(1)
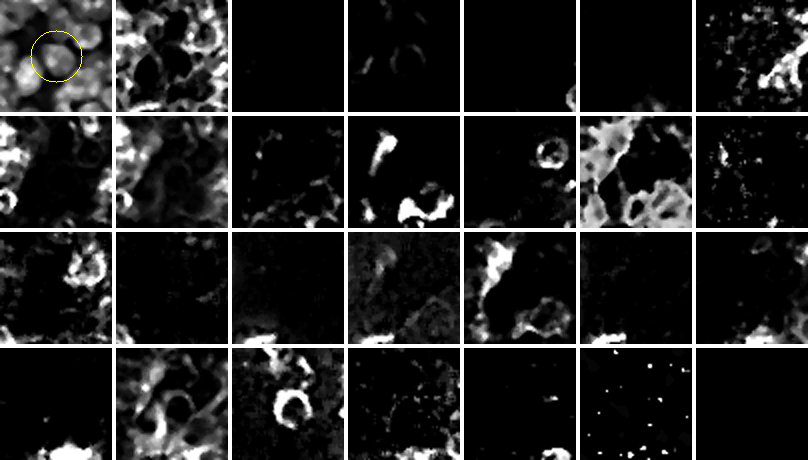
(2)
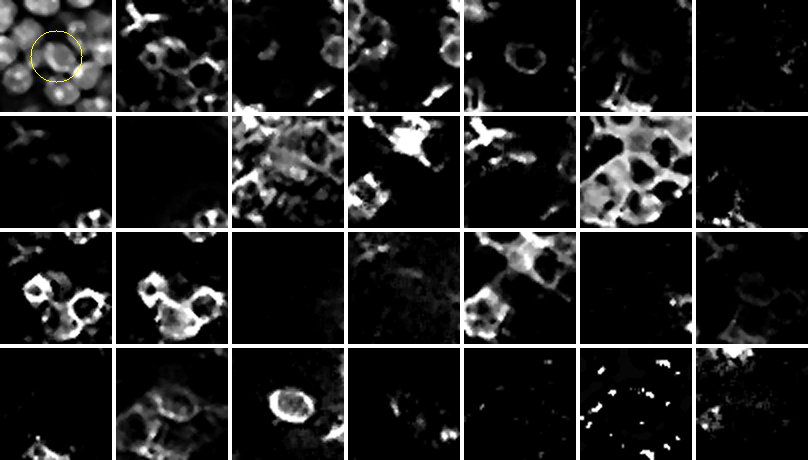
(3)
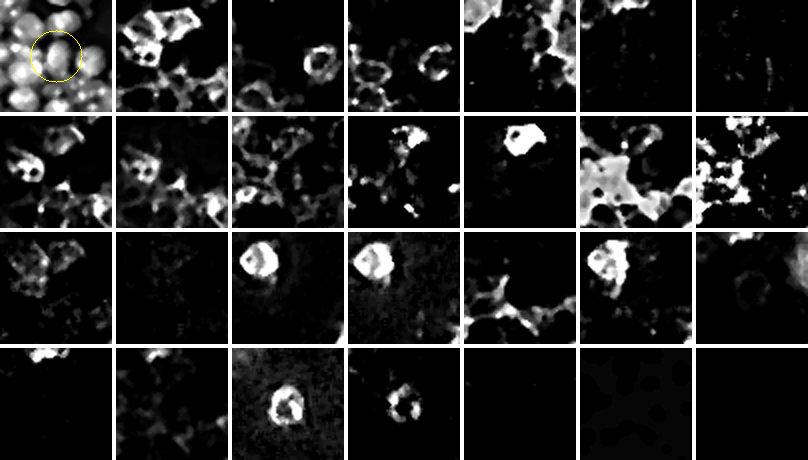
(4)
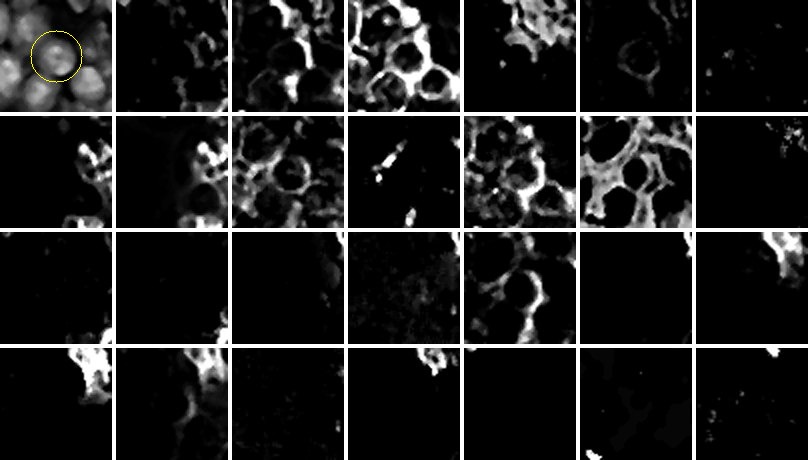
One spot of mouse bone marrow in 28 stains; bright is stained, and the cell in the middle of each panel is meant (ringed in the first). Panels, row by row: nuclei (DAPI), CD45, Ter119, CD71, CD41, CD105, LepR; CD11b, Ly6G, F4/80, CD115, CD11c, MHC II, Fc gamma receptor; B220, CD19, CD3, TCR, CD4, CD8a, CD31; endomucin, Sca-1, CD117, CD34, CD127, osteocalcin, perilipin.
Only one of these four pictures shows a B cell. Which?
Picture 2.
